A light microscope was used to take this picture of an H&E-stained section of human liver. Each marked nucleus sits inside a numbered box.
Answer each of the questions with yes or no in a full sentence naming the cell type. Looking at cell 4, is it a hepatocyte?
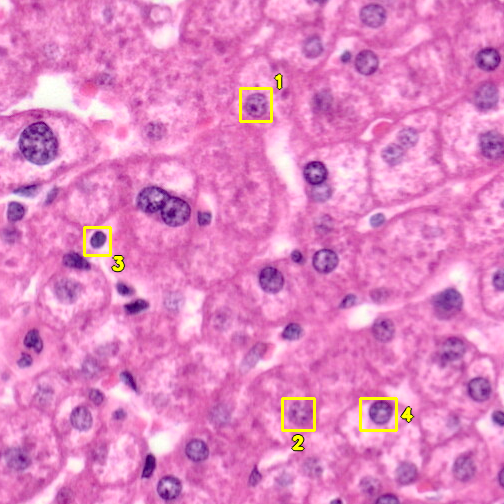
Yes, the one numbered 4 is a hepatocyte.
